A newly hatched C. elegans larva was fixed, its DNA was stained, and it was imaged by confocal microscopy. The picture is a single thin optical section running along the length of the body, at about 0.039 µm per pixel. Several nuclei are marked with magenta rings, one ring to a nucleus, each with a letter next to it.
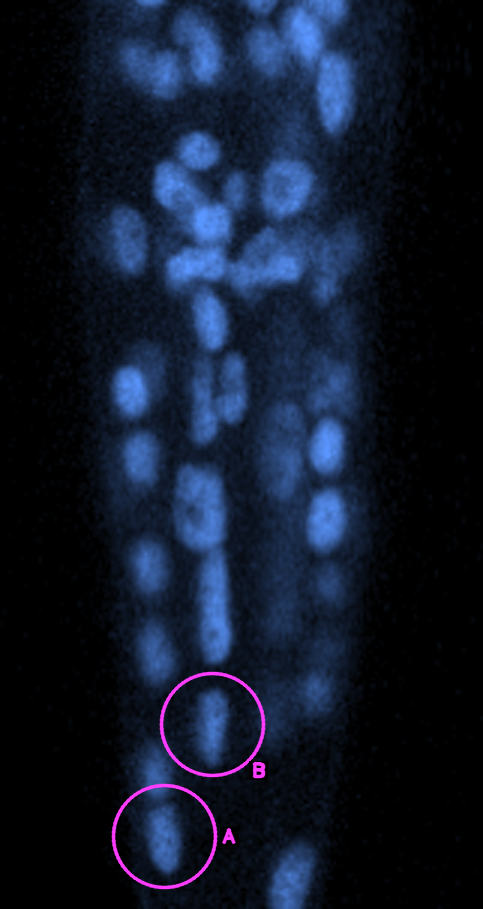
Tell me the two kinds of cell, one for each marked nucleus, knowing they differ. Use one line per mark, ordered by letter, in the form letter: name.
A: hypodermal cell (hyp)
B: pharyngeal epithelial cell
